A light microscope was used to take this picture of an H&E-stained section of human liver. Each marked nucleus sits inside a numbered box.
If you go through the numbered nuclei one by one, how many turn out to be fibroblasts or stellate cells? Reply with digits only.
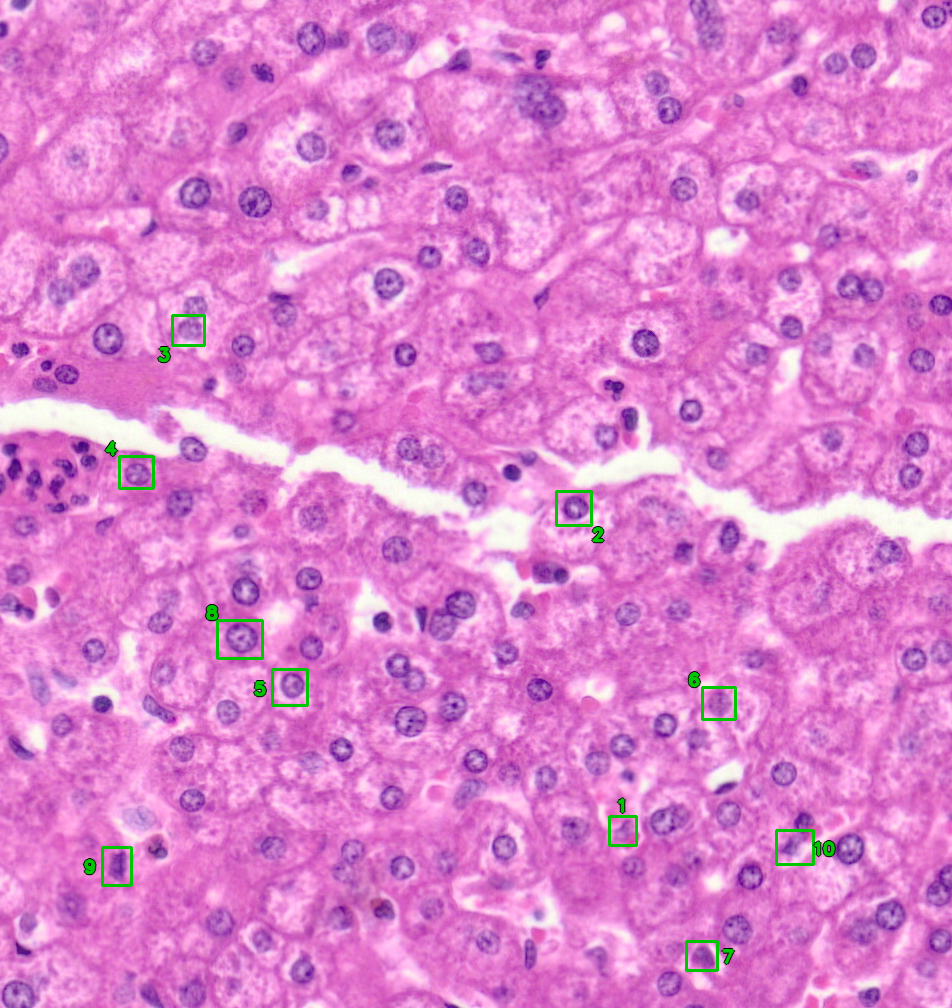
1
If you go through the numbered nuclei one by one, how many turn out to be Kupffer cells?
3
